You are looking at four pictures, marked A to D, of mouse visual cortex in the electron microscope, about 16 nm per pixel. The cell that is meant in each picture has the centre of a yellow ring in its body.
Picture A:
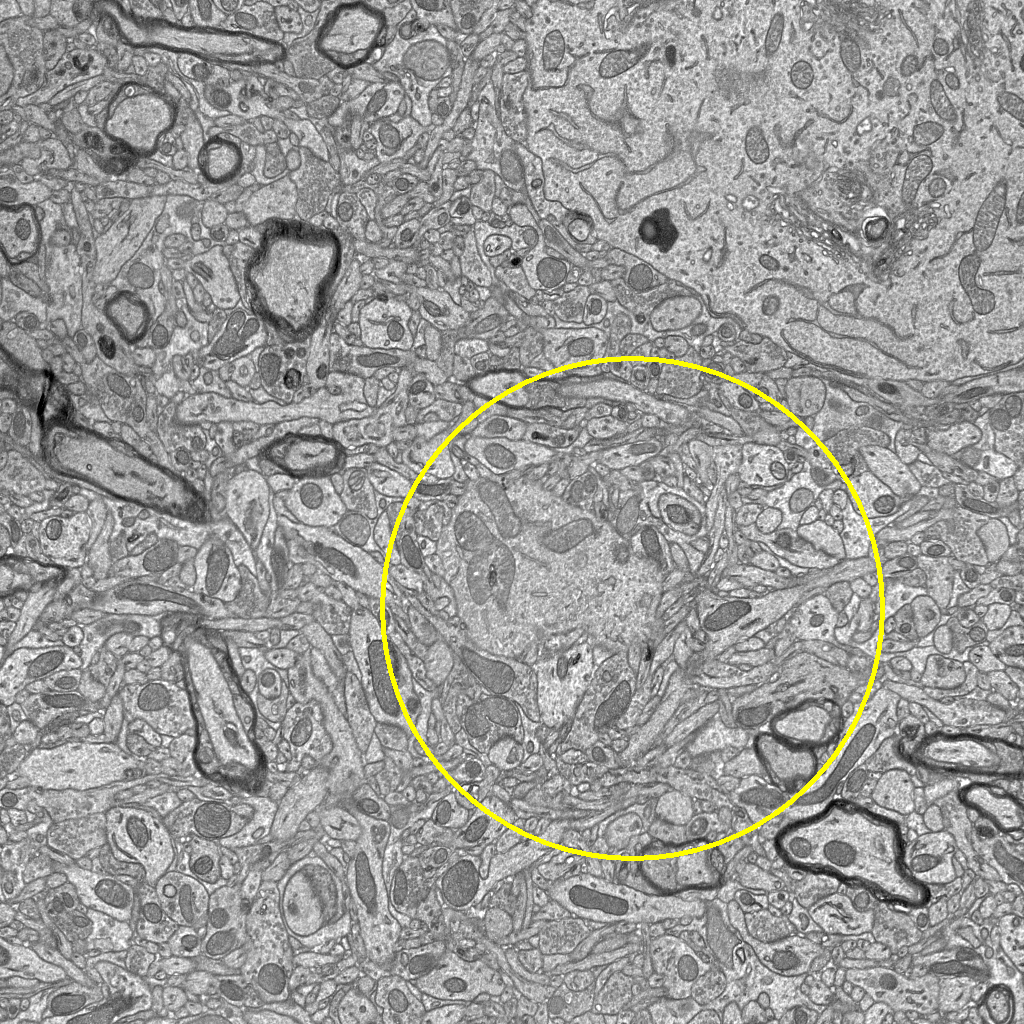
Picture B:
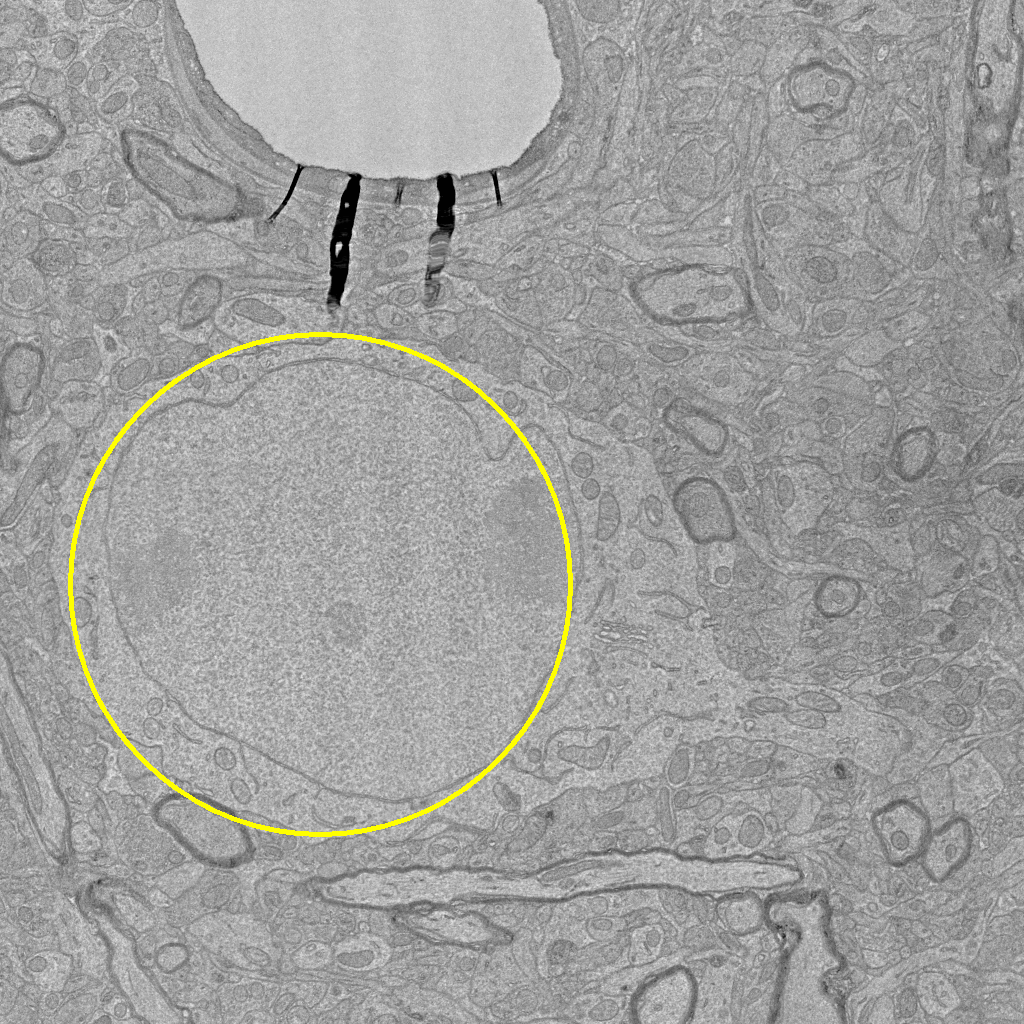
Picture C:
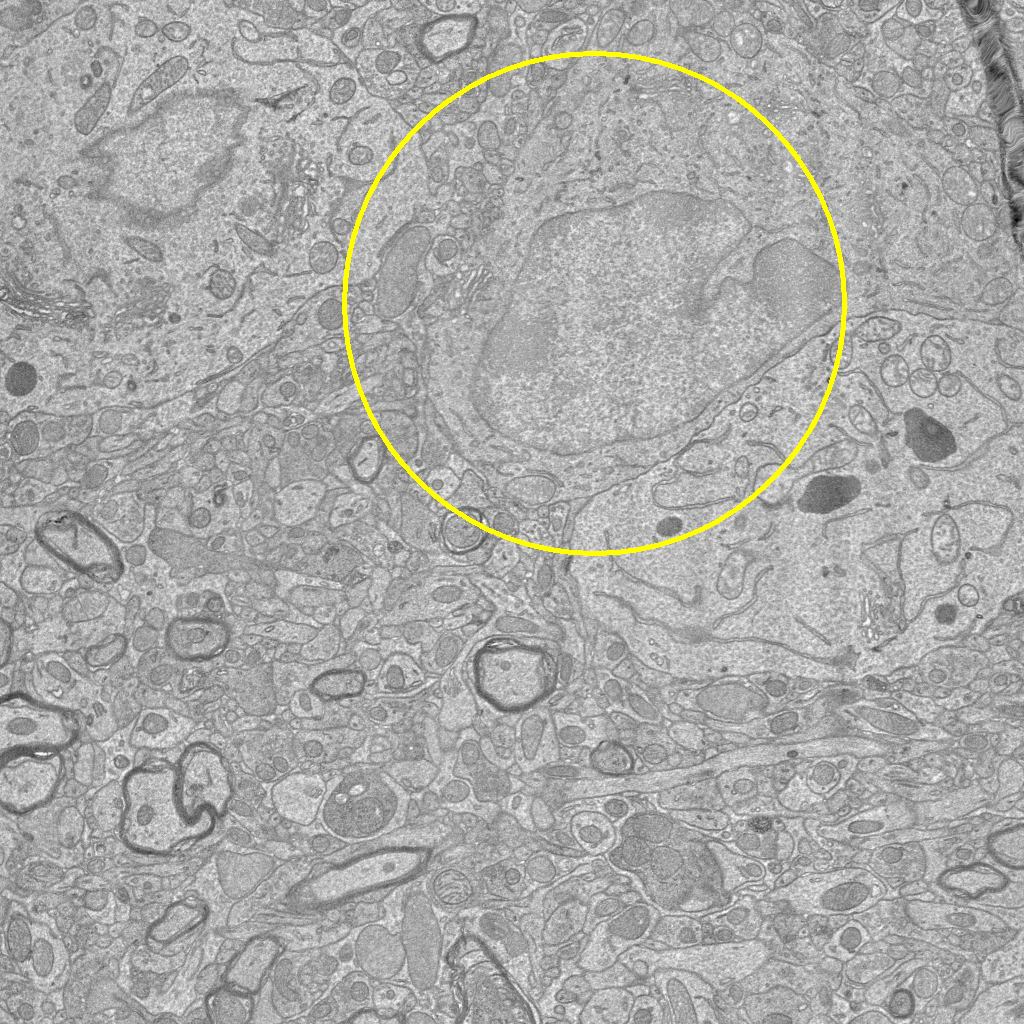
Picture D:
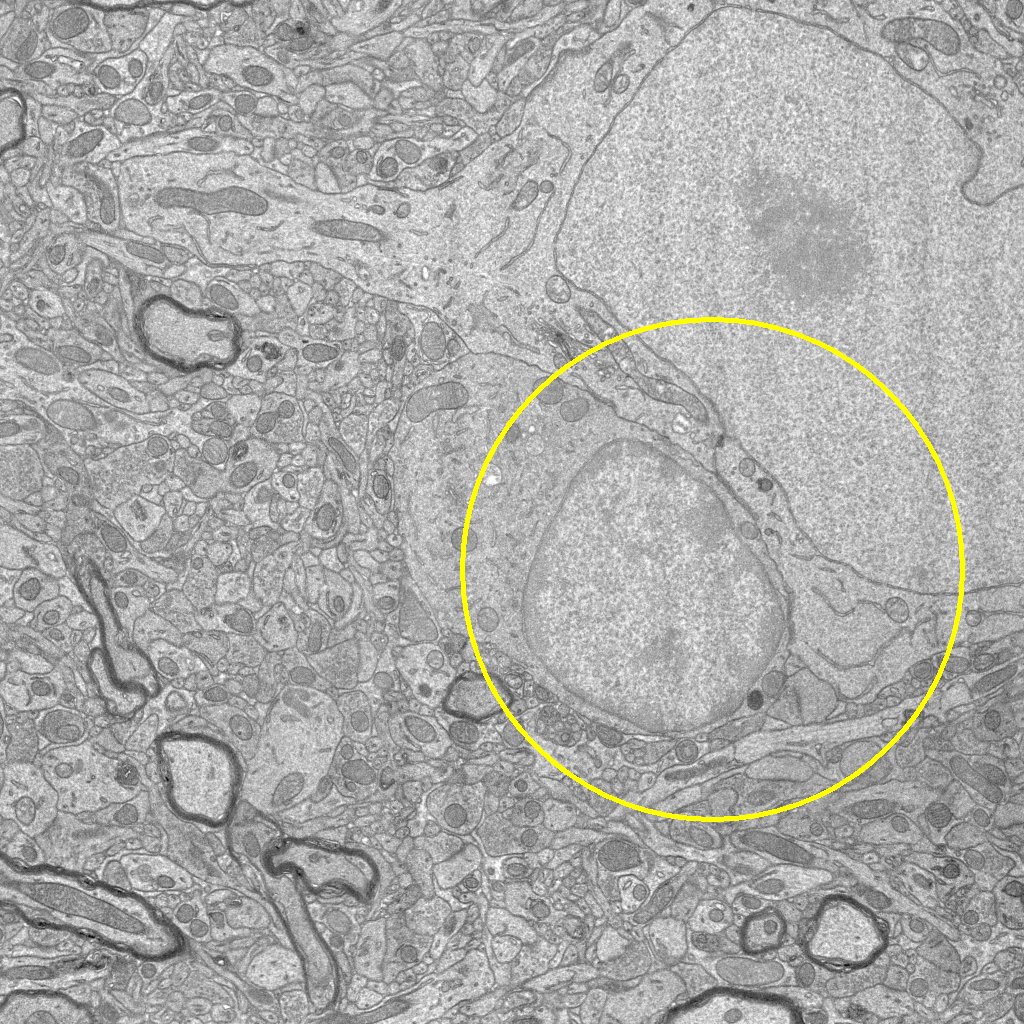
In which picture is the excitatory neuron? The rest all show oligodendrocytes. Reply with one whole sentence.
The excitatory neuron is the one in picture B.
